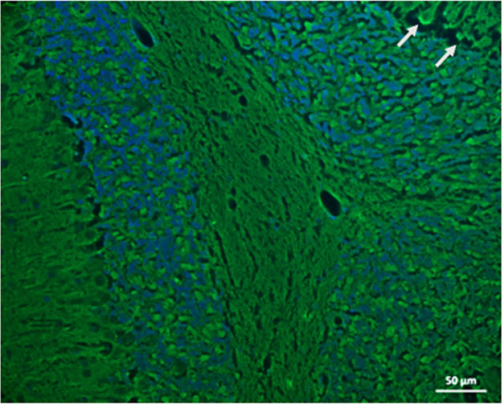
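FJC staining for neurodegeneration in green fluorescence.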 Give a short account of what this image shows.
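This section of cerebellum shows a diagonal band of white matter with fibrous green texture between regions of granular layer crowded with small blue nuclei. At the upper right the granular layer gives way to the nucleus-poor molecular layer. A few large cell profiles at this boundary, in the Purkinje cell layer, are set off by brighter green fluorescence.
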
